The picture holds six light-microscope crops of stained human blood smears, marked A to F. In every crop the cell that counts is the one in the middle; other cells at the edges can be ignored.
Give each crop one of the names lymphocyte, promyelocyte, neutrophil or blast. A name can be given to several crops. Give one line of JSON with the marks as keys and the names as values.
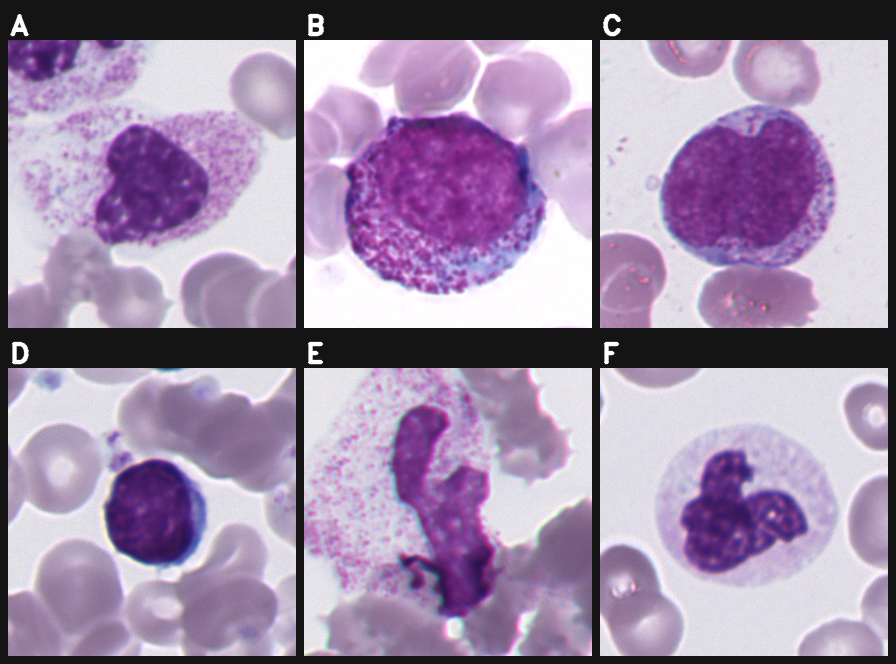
{"A": "neutrophil", "B": "promyelocyte", "C": "promyelocyte", "D": "lymphocyte", "E": "neutrophil", "F": "neutrophil"}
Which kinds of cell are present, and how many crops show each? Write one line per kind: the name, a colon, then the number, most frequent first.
neutrophil: 3
promyelocyte: 2
lymphocyte: 1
